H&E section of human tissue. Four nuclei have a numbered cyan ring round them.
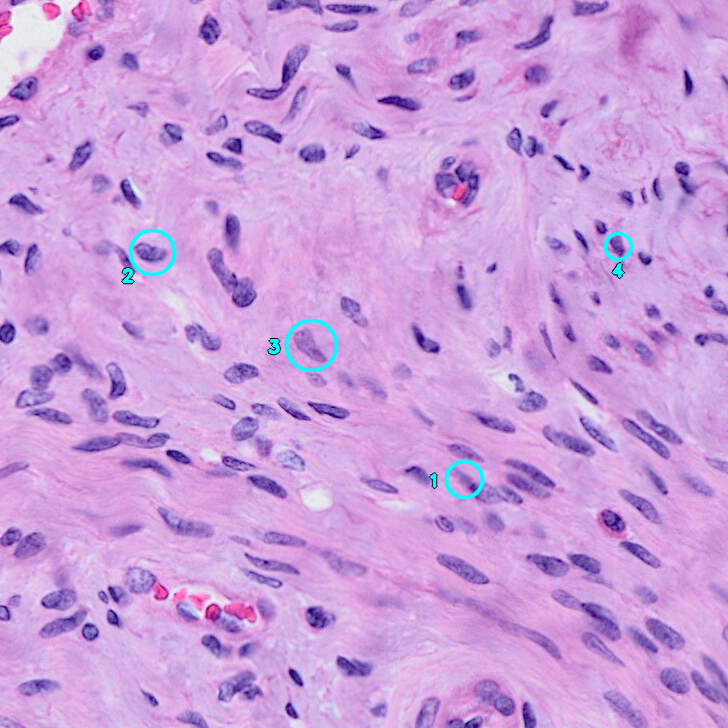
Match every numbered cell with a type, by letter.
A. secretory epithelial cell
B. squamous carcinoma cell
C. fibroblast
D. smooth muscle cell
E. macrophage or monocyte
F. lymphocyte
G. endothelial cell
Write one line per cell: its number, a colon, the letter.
1: C
2: C
3: C
4: D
